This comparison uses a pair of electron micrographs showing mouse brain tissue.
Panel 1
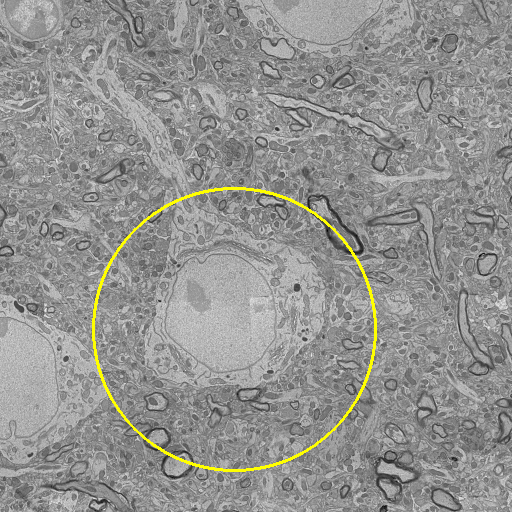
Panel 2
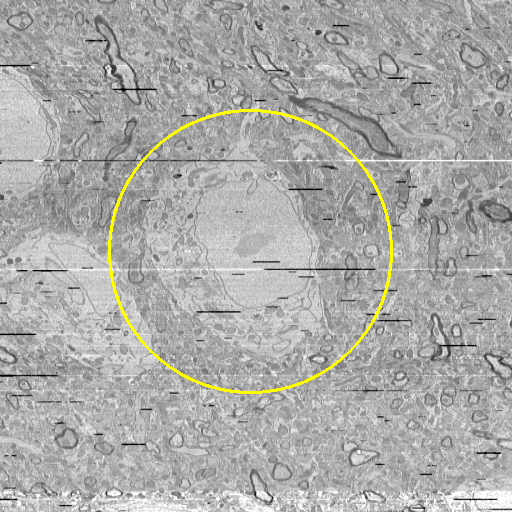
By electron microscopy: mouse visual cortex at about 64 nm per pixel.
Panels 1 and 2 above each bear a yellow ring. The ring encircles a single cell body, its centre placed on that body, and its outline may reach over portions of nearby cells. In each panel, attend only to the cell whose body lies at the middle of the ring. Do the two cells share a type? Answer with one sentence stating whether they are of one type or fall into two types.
In Panel 1 and Panel 2, the cells at the centres of the rings are of one type.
